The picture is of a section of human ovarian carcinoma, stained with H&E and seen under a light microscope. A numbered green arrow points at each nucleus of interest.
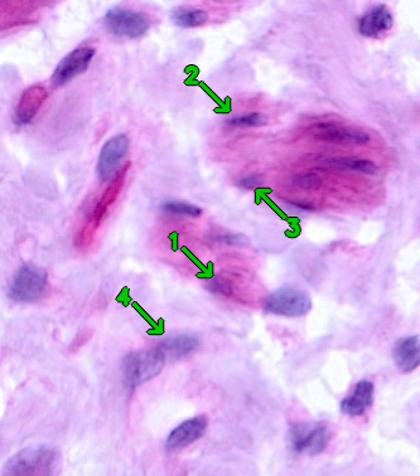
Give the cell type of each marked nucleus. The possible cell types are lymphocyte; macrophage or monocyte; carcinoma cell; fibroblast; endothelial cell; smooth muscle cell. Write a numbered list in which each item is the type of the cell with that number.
1. smooth muscle cell
2. smooth muscle cell
3. smooth muscle cell
4. fibroblast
